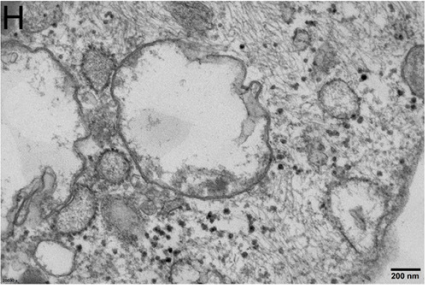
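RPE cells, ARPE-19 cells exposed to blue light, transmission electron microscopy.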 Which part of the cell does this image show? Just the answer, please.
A: vacuoles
